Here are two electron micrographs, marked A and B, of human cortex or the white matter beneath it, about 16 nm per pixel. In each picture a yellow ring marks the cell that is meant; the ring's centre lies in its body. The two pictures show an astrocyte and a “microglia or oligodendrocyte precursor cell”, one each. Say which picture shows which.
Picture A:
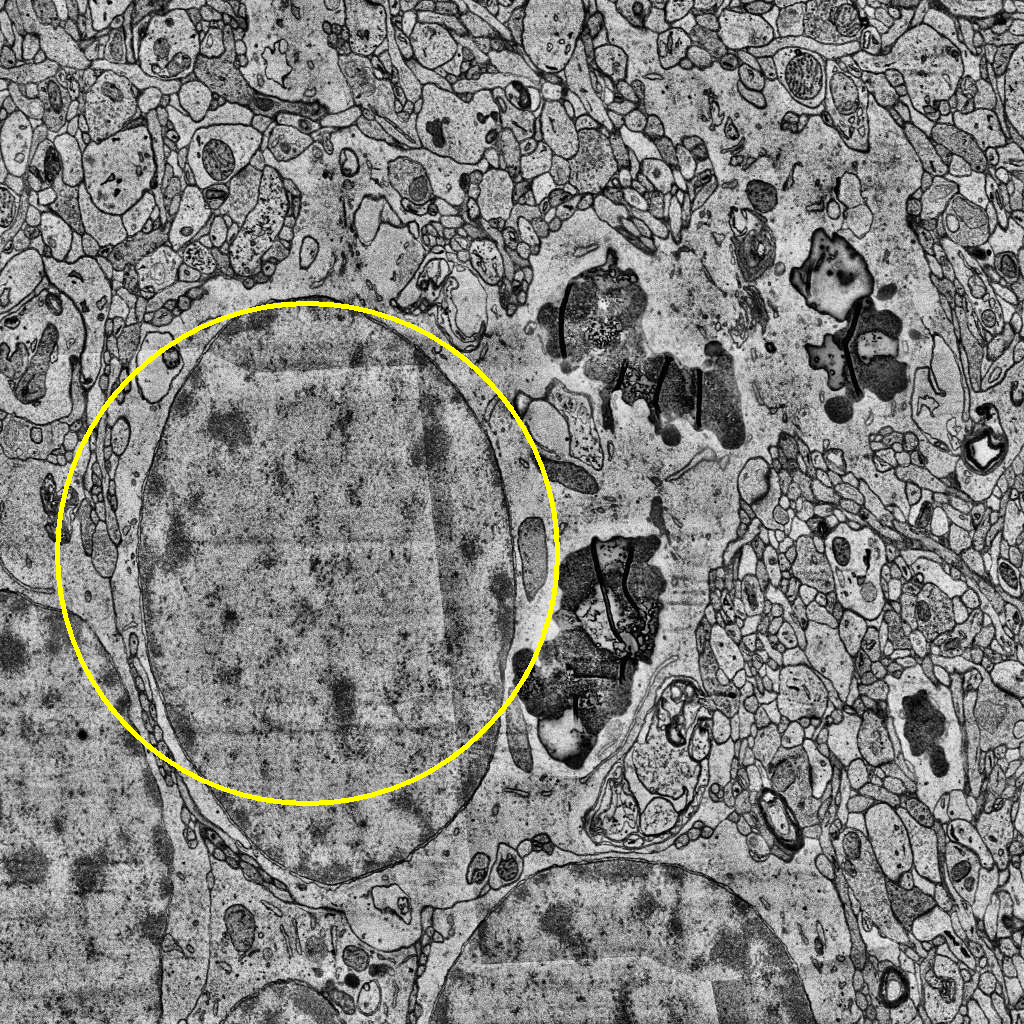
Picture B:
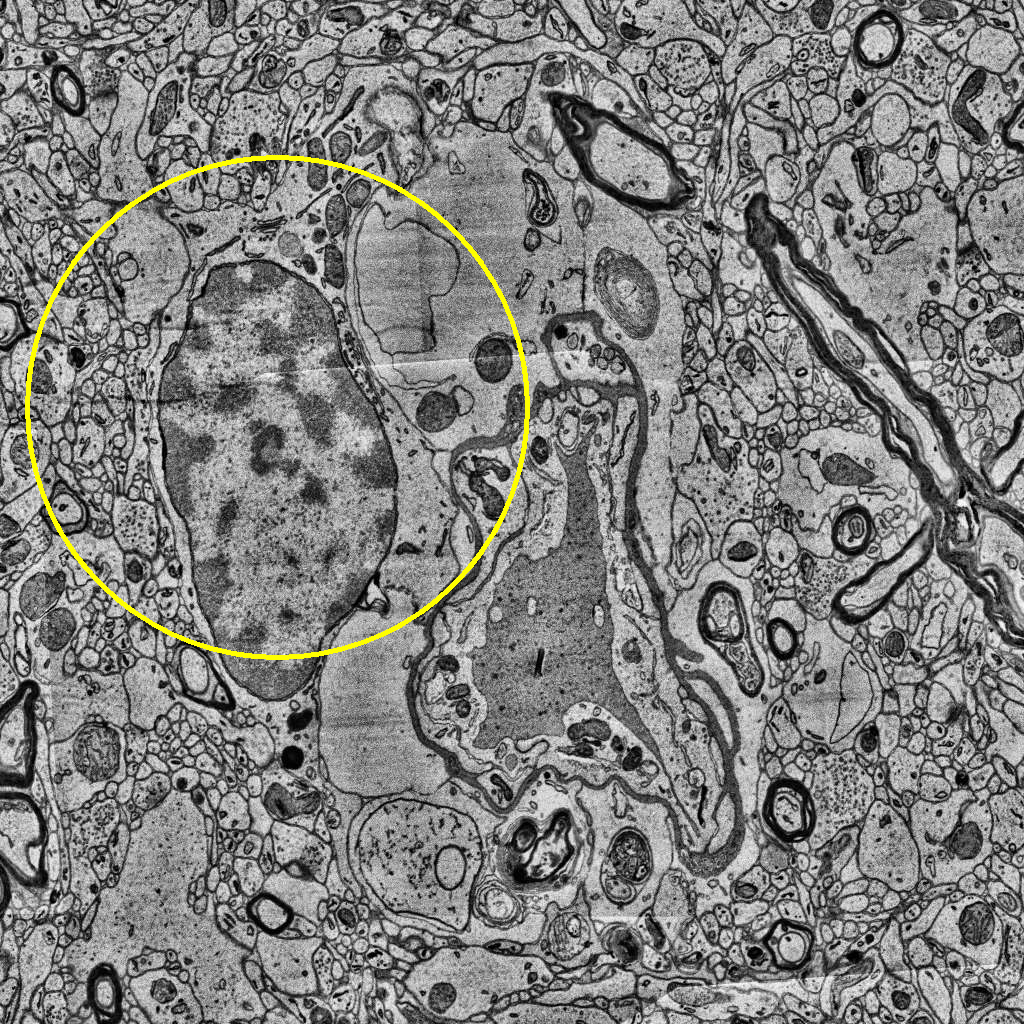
It is picture A that shows an astrocyte, and picture B that shows a “microglia or oligodendrocyte precursor cell”.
